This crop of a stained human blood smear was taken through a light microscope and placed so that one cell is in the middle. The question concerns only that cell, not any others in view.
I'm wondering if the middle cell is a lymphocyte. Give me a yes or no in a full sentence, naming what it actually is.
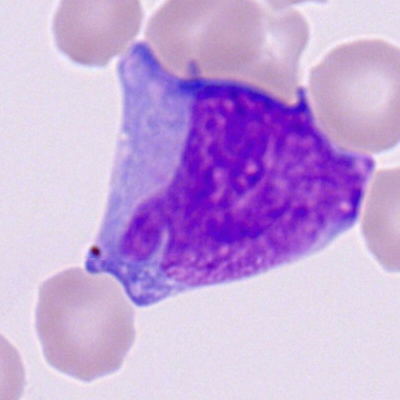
No, the central cell is not a lymphocyte; it is a myeloblast.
